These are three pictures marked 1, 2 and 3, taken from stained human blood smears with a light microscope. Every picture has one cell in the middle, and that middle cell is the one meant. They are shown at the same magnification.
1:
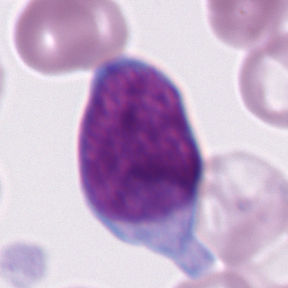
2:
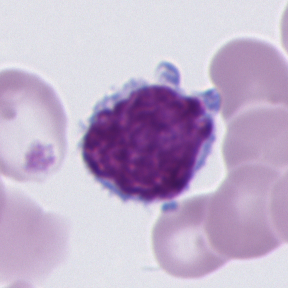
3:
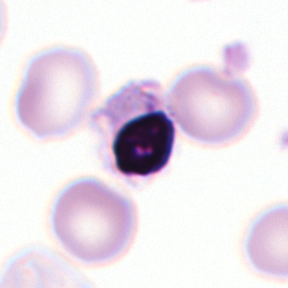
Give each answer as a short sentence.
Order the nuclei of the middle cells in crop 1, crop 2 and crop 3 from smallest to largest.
From the smallest up, the order is 3, 2, 1.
